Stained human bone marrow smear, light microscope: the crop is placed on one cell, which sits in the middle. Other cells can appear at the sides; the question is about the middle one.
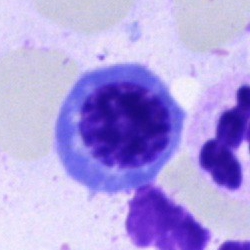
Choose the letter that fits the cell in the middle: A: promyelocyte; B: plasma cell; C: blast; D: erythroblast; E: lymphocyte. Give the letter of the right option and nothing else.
D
